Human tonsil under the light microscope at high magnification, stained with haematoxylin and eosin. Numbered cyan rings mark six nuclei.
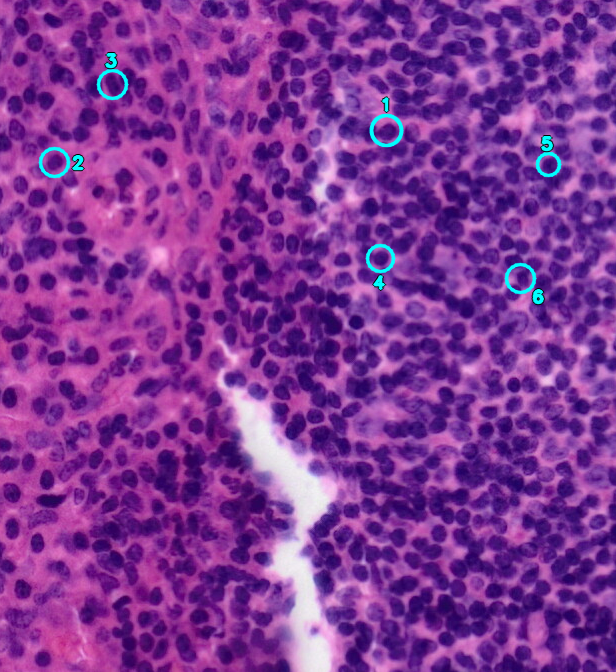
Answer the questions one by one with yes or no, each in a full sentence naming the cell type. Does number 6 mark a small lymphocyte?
Yes, the number 6 belongs to a small lymphocyte.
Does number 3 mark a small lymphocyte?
No, the cell given number 3 is a plasma cell, not a small lymphocyte.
